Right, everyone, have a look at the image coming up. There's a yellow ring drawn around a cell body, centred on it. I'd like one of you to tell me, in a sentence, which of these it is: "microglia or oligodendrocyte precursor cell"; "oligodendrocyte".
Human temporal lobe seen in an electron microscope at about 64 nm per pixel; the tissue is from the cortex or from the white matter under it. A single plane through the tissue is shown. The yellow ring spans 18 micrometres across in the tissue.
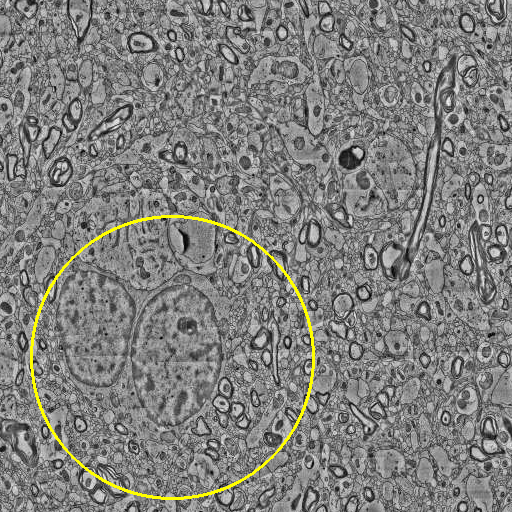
The yellow ring sits on an oligodendrocyte.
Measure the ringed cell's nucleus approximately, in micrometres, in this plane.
In this plane the nucleus is clearly longer than it is wide: roughly 9 by 6 micrometres.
